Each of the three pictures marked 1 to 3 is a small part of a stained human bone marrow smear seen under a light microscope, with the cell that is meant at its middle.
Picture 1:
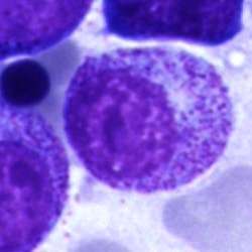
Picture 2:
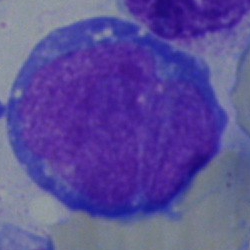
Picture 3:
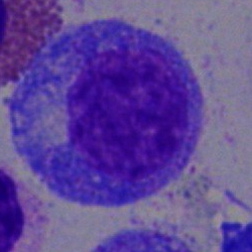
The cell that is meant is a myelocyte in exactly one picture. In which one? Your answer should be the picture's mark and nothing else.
1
